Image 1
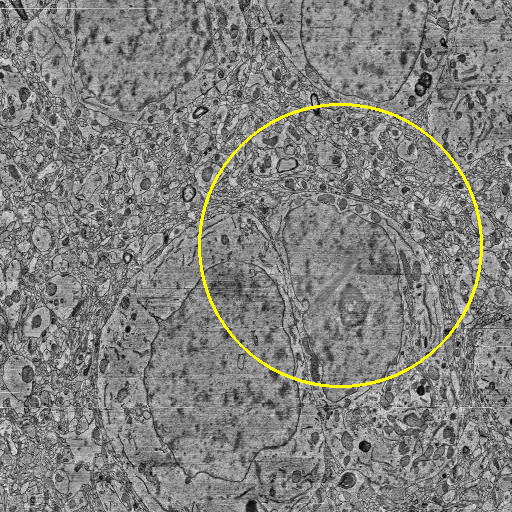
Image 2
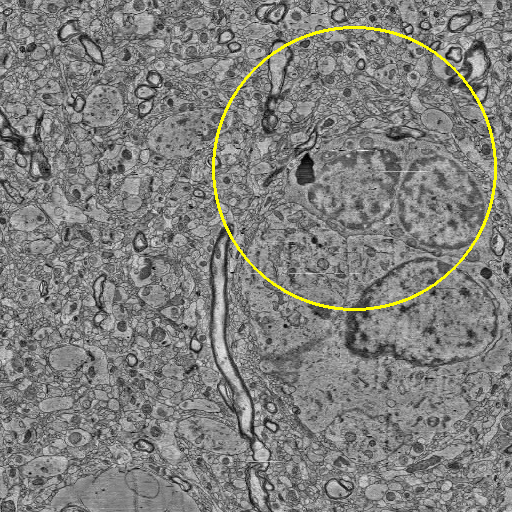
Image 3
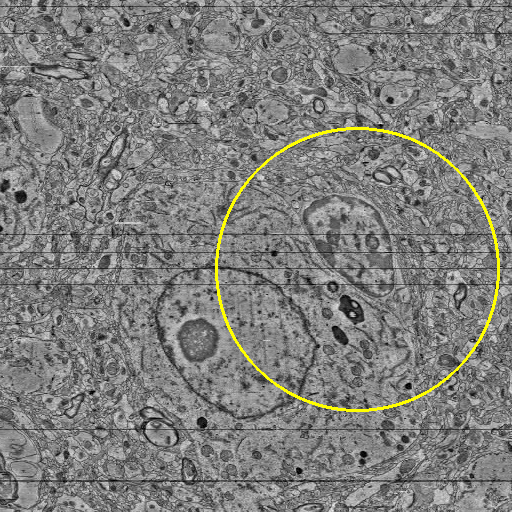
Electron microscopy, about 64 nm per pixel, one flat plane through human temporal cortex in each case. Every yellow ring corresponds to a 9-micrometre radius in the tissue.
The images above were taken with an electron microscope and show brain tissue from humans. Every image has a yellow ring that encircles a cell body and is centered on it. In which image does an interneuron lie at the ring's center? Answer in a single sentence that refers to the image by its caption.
In Image 1, the cell at the center of the yellow ring is the correct match.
